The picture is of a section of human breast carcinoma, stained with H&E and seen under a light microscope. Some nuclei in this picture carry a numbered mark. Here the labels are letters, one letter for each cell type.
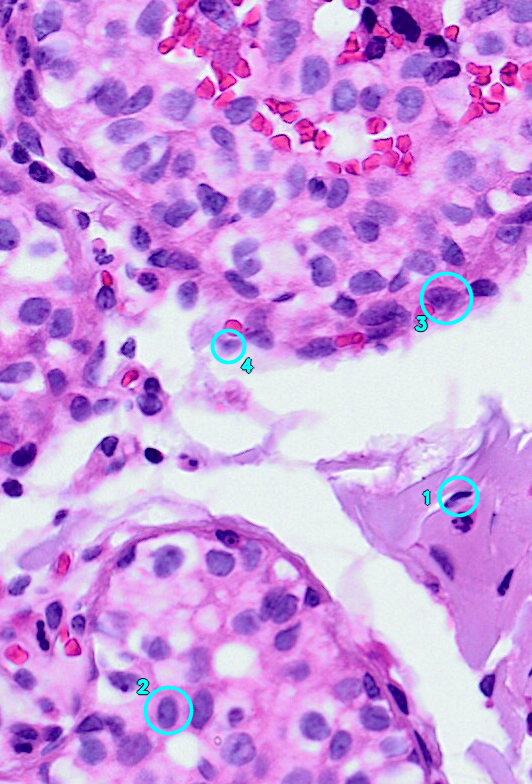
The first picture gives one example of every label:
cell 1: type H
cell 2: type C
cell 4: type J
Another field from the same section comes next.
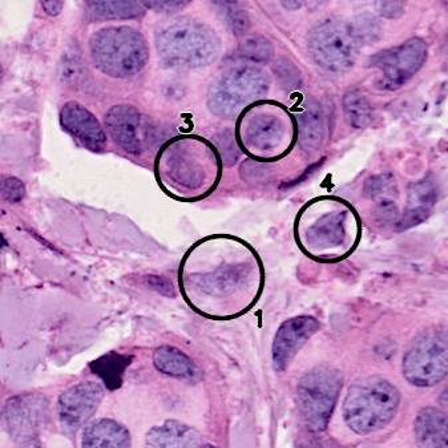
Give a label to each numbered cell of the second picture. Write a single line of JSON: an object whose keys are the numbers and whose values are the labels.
{"1": "type H", "2": "type C", "3": "type C", "4": "type H"}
